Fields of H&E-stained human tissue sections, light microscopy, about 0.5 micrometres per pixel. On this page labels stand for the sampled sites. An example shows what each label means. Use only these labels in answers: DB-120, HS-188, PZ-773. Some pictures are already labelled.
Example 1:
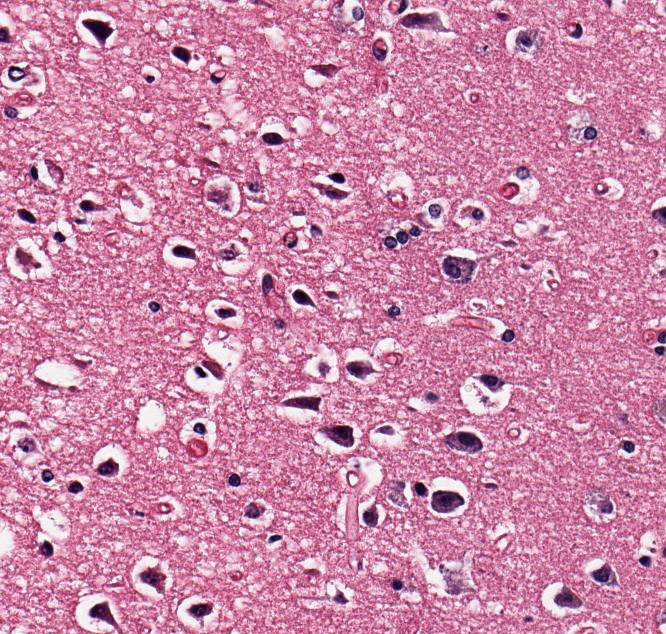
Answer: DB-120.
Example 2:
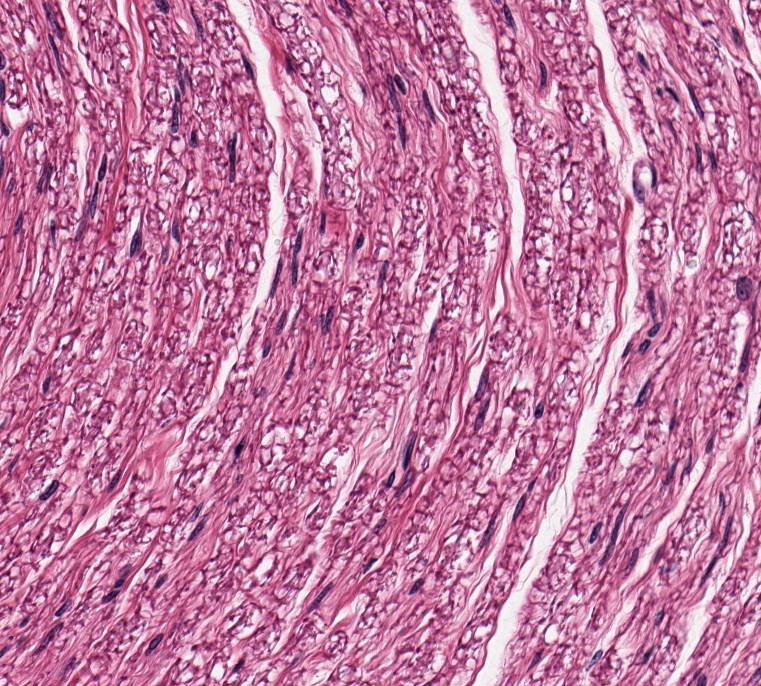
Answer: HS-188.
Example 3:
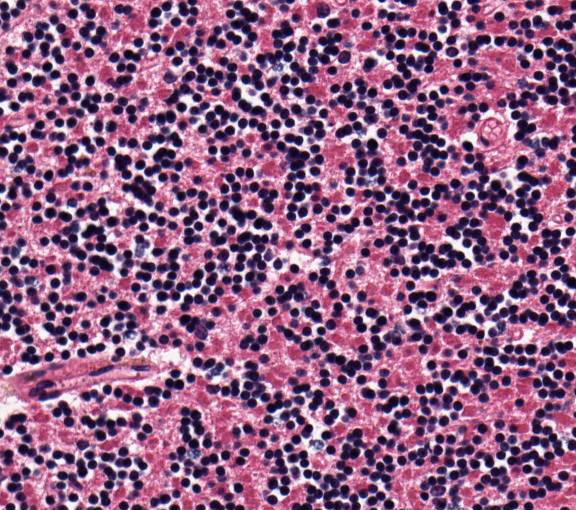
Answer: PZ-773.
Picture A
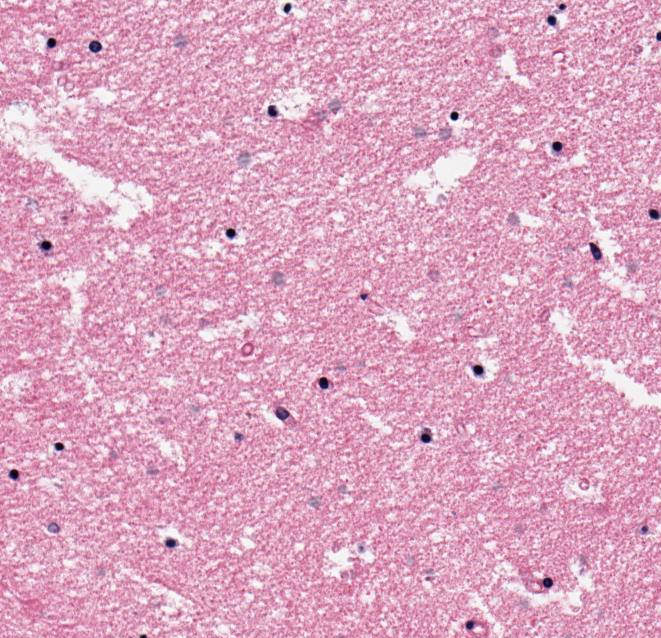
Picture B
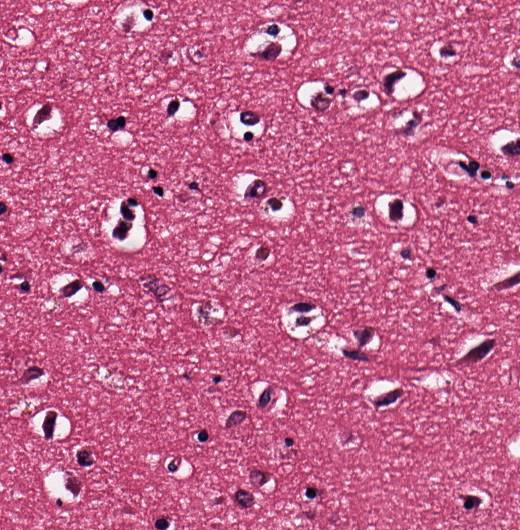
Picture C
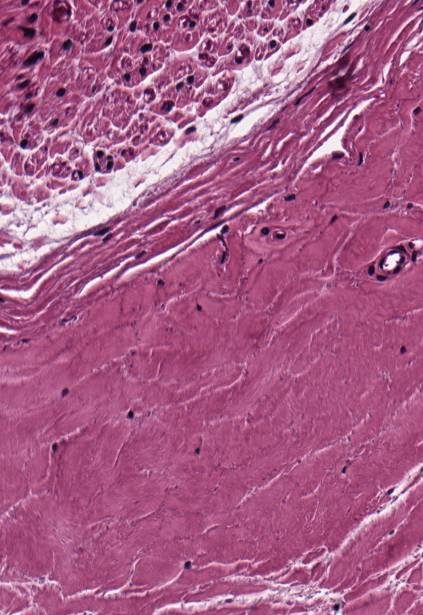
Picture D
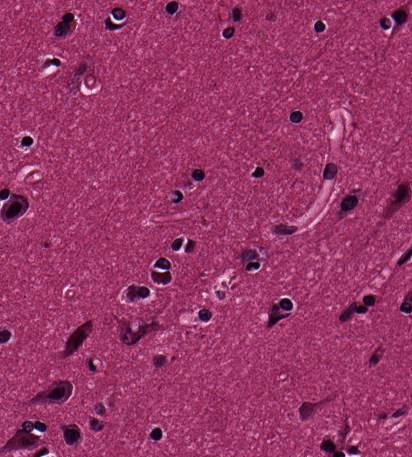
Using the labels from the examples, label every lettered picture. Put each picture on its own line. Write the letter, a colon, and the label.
A: PZ-773.
B: DB-120.
C: HS-188.
D: DB-120.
